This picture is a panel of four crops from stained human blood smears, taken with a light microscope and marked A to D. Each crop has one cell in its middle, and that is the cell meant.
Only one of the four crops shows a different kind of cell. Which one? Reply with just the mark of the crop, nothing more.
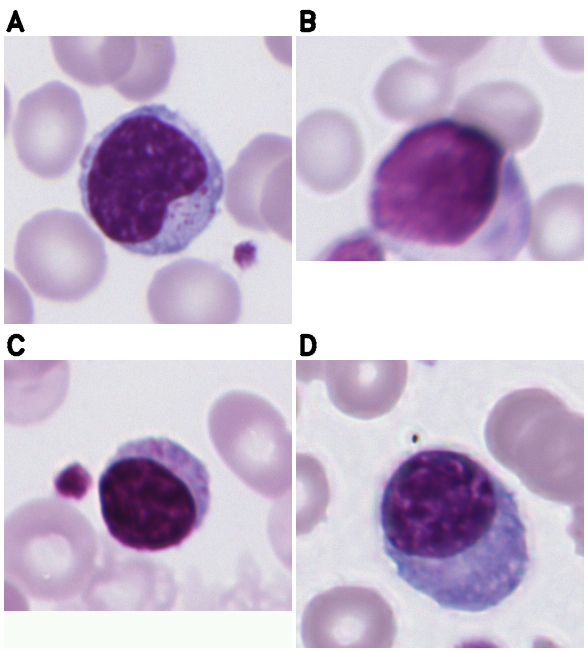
D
